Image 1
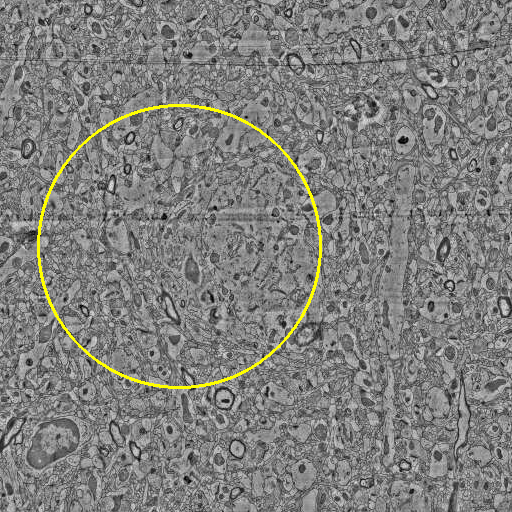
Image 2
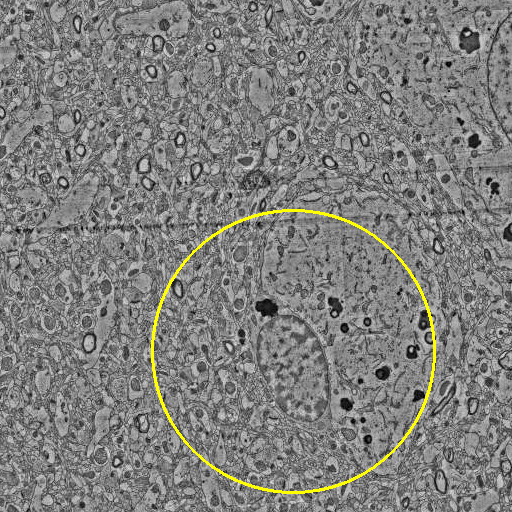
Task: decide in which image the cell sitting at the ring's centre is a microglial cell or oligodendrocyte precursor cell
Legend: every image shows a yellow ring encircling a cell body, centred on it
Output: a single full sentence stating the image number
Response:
In image 1, the cell at the middle of the ring is the match.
